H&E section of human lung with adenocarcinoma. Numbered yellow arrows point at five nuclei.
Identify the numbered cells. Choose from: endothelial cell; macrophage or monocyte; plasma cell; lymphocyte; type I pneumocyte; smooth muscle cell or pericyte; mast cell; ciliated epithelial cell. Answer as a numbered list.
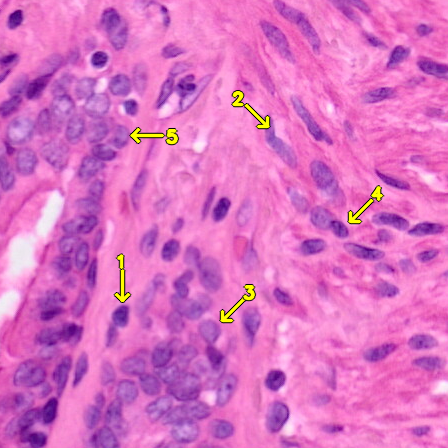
1. lymphocyte
2. smooth muscle cell or pericyte
3. ciliated epithelial cell
4. smooth muscle cell or pericyte
5. ciliated epithelial cell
